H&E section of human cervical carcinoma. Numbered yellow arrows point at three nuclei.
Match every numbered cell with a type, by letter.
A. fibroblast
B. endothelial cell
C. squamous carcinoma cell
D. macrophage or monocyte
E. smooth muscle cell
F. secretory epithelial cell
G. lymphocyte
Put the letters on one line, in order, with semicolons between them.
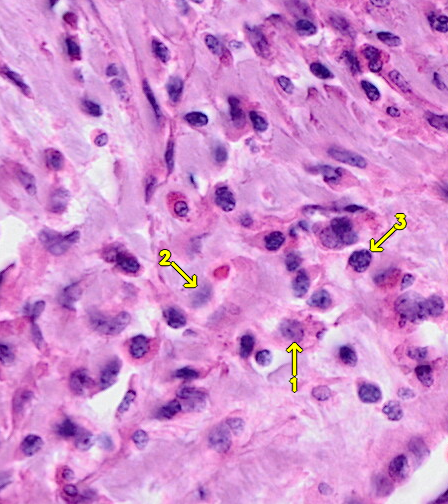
D; B; G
